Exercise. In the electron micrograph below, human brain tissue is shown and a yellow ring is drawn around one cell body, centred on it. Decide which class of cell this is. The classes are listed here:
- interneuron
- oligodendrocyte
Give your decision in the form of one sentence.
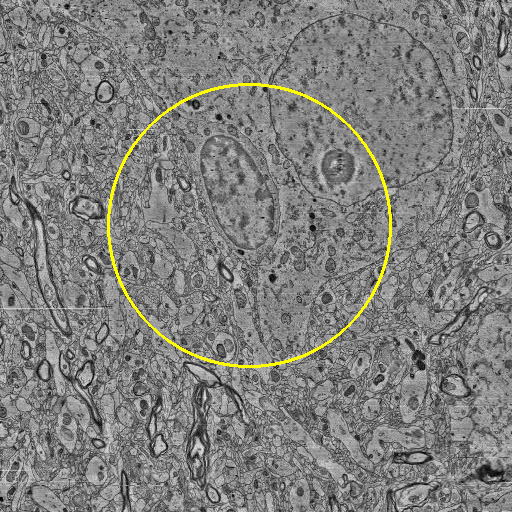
The cell body marked by the ring belongs to an oligodendrocyte.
